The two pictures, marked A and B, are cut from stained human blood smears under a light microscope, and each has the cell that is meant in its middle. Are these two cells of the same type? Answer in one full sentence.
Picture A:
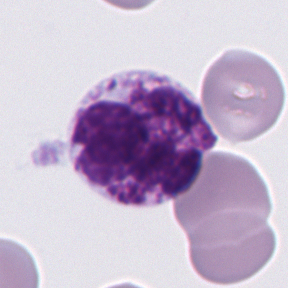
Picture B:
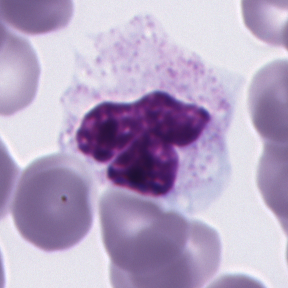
No, picture A shows a basophil and picture B shows a segmented neutrophil.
